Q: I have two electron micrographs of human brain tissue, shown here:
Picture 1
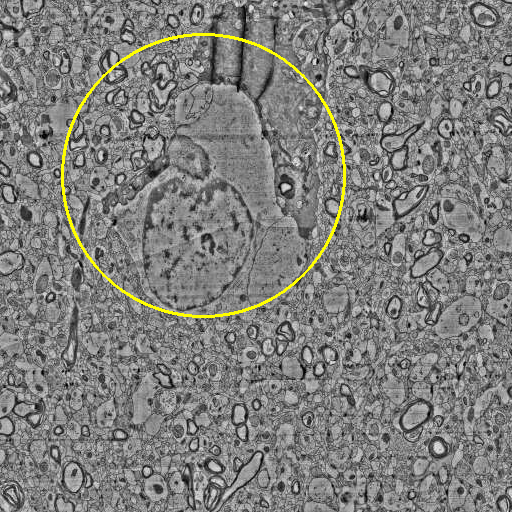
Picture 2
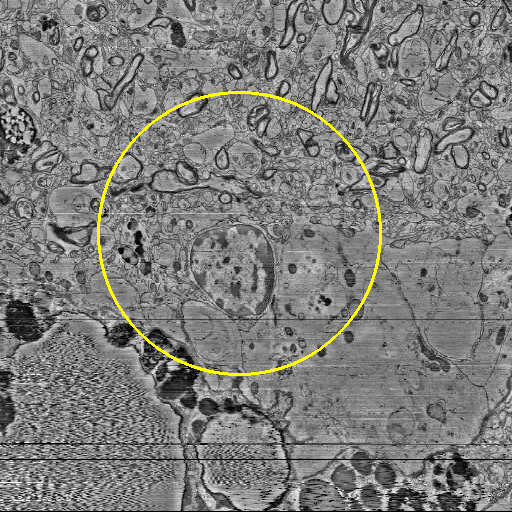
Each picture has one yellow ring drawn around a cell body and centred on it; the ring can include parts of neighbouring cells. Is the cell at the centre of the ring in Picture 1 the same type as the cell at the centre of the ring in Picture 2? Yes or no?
no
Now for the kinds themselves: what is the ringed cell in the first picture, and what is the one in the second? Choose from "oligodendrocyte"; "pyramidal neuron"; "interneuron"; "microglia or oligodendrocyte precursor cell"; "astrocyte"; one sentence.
Here the first cell is an oligodendrocyte and the second cell is a microglial cell or oligodendrocyte precursor cell.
